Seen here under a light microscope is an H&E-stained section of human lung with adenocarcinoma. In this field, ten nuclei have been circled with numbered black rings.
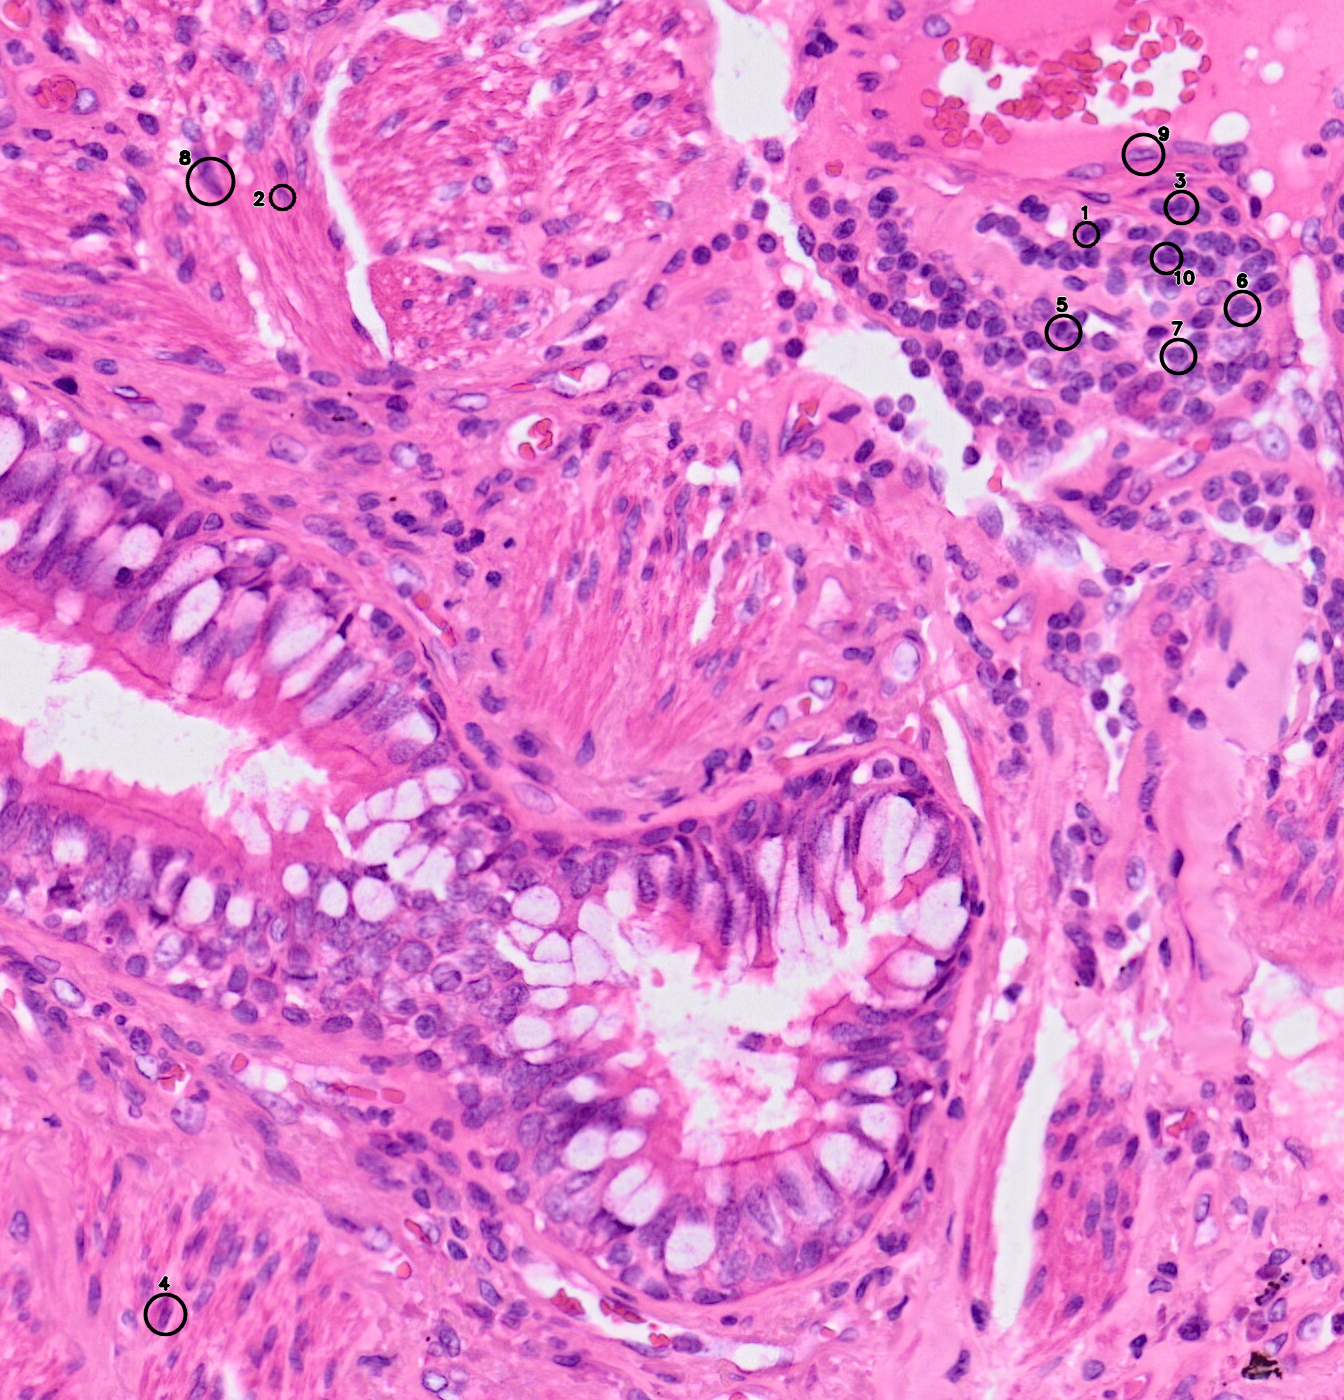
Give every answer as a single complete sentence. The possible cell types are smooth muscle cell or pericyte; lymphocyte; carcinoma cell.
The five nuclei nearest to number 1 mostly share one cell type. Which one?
Around number 1, most of the five nearest nuclei are those of lymphocytes.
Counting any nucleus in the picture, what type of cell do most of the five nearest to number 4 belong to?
The majority of the five nuclei closest to number 4 belong to smooth muscle cells or pericytes.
